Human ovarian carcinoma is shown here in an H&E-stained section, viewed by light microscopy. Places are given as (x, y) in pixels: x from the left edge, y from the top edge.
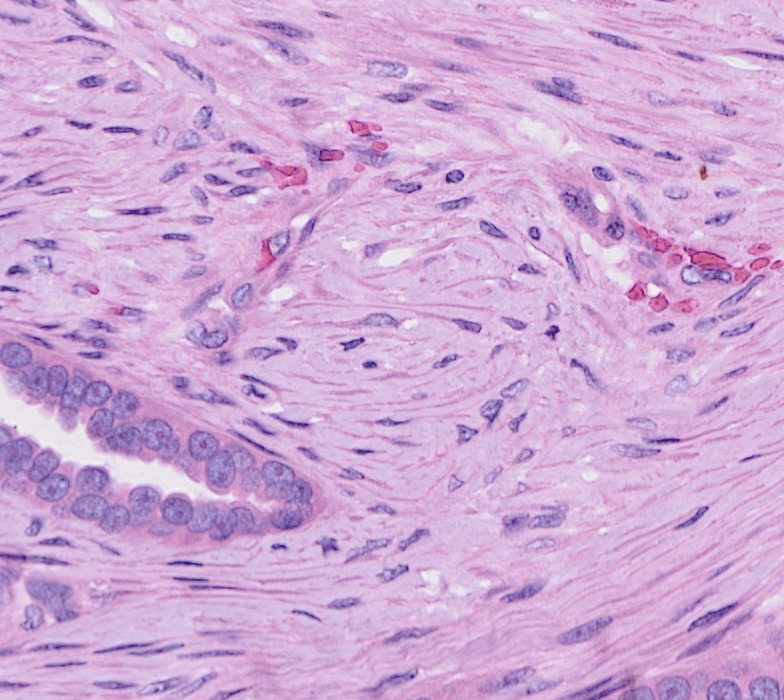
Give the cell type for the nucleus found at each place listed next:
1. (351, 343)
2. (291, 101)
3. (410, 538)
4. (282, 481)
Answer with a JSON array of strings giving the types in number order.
["fibroblast", "fibroblast", "fibroblast", "carcinoma cell"]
